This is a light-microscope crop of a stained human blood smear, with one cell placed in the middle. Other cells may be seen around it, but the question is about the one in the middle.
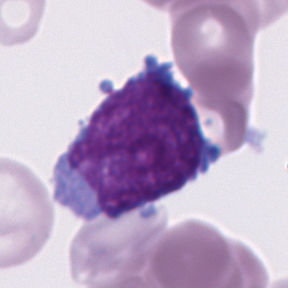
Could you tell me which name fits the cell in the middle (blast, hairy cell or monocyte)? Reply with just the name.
blast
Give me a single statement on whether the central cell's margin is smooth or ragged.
Its outline is ragged or drawn out into projections, not smooth.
